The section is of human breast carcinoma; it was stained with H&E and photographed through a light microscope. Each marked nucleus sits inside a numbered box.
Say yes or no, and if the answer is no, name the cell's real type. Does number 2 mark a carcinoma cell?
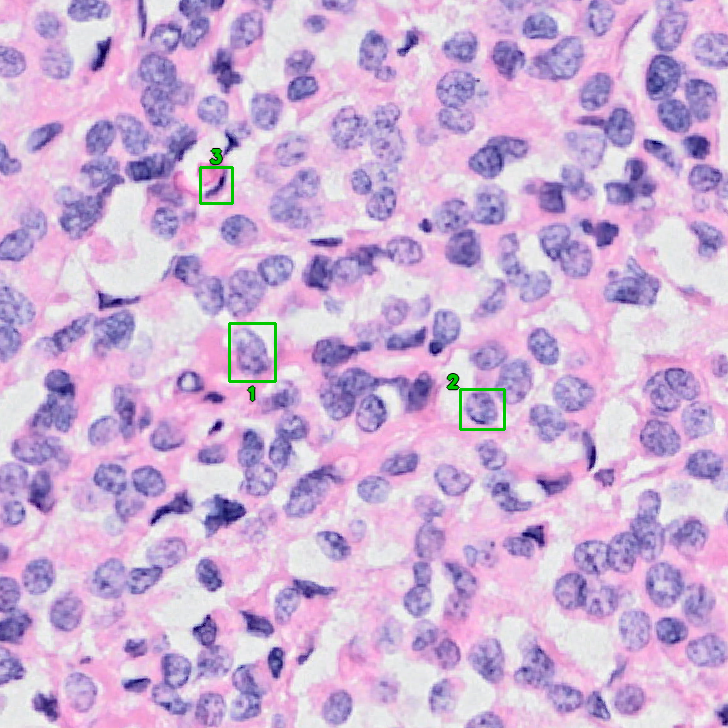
Yes.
